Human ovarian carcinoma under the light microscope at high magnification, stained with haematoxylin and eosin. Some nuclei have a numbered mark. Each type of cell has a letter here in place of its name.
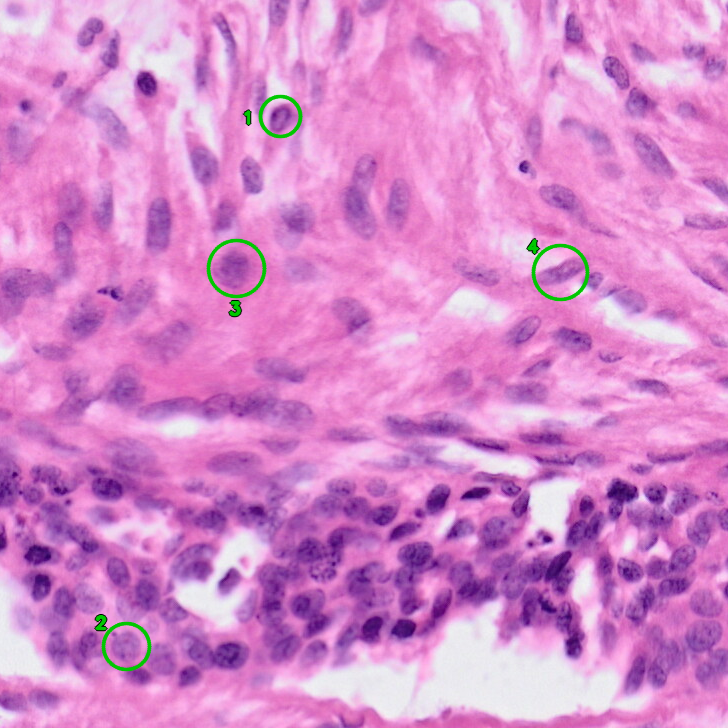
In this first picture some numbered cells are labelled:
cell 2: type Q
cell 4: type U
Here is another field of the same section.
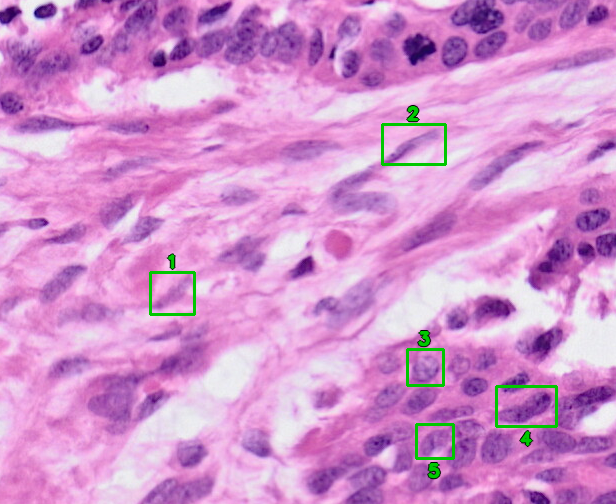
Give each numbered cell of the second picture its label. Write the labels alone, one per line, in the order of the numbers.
type U
type U
type Q
type Q
type Q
